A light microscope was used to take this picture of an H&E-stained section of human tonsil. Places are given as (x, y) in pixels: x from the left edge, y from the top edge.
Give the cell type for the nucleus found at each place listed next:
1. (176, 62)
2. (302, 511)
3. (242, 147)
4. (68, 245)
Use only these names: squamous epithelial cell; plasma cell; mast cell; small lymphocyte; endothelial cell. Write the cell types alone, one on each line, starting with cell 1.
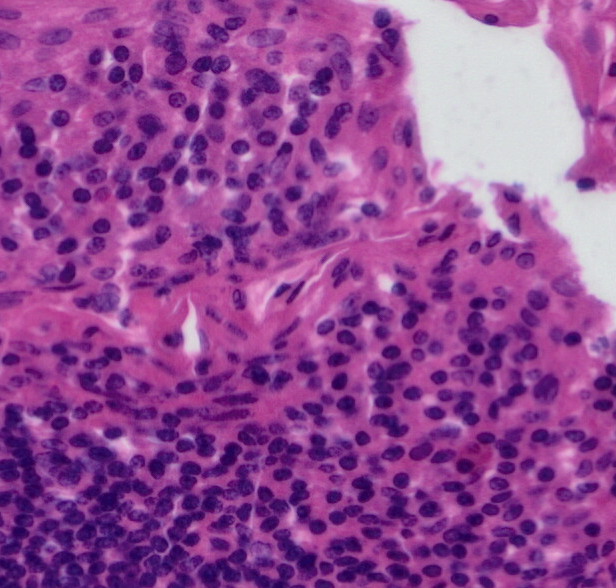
squamous epithelial cell
plasma cell
plasma cell
plasma cell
